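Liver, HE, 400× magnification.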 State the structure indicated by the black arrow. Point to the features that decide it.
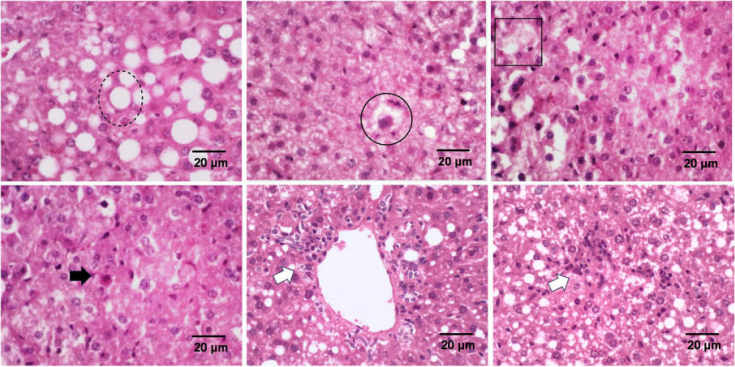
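Apoptotic body. The black arrow points to a small, round, densely stained body.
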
